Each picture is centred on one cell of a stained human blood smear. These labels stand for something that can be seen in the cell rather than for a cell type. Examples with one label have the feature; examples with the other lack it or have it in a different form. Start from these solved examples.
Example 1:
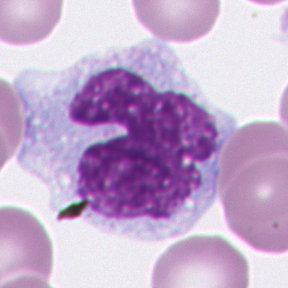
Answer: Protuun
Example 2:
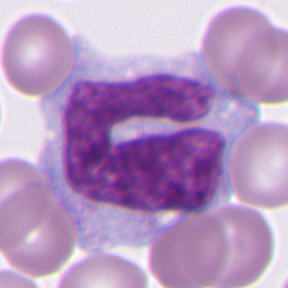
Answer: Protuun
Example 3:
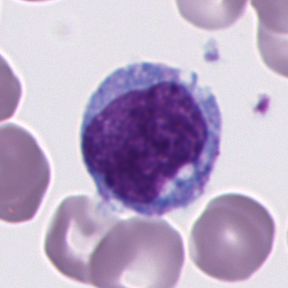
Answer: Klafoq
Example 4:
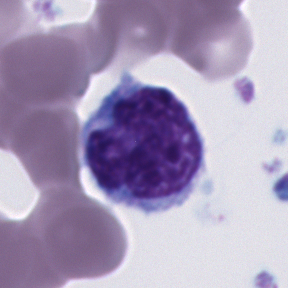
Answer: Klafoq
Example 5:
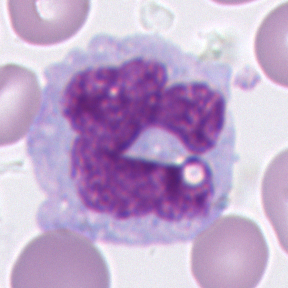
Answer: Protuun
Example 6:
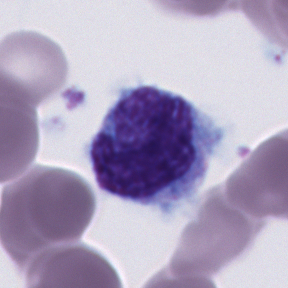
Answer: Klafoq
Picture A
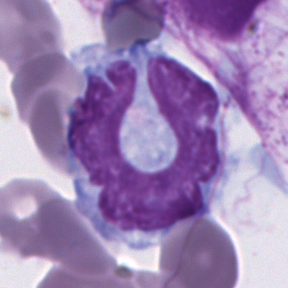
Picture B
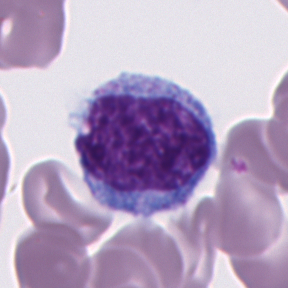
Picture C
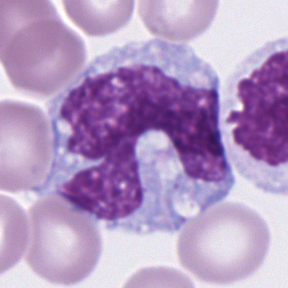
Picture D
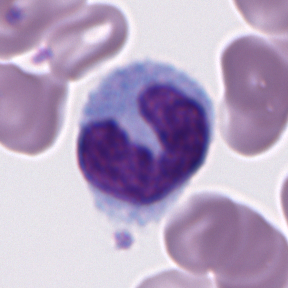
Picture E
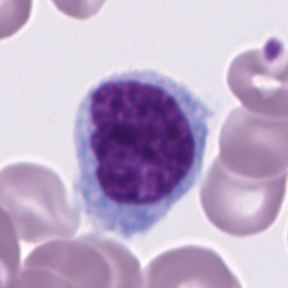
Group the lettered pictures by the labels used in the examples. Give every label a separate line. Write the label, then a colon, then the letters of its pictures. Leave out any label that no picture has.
Protuun: A, C, D
Klafoq: B, E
